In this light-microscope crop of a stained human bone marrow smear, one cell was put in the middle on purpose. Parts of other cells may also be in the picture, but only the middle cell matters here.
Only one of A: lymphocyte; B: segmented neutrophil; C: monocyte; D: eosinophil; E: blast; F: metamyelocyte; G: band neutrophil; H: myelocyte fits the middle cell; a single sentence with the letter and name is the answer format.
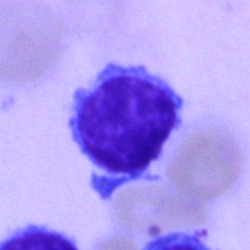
Correctly, option A names the cell in the middle a lymphocyte.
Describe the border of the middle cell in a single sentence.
It is the contour of the cell that is irregular, being ragged or projecting outward.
